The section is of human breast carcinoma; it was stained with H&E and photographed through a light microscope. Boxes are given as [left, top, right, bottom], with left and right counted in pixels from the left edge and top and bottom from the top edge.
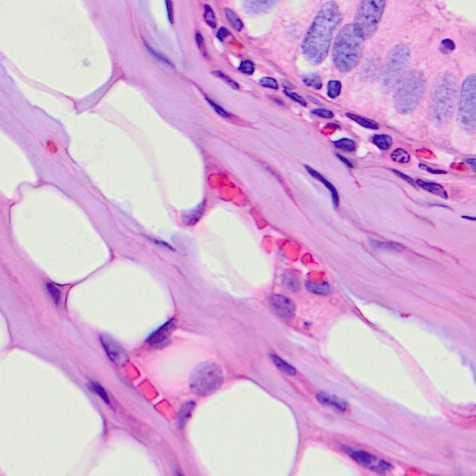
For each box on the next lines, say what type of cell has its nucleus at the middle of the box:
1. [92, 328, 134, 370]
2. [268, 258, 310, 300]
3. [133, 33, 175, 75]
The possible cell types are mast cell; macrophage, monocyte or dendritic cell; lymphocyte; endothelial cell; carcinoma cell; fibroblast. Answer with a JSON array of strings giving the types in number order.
["endothelial cell", "endothelial cell", "fibroblast"]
